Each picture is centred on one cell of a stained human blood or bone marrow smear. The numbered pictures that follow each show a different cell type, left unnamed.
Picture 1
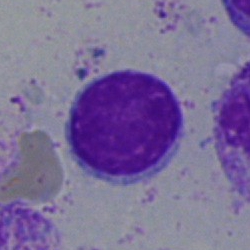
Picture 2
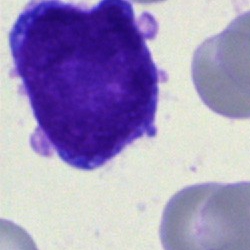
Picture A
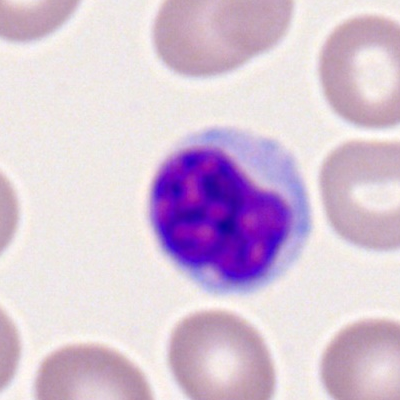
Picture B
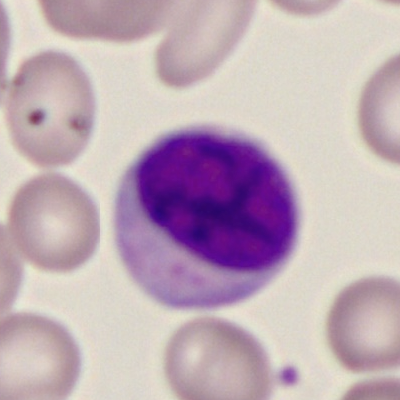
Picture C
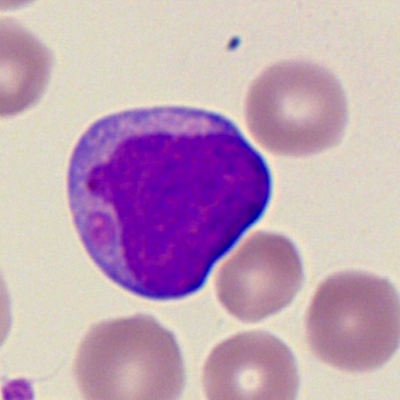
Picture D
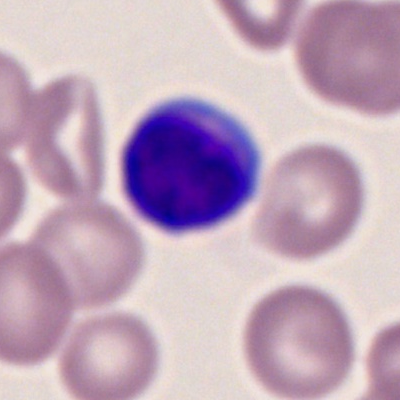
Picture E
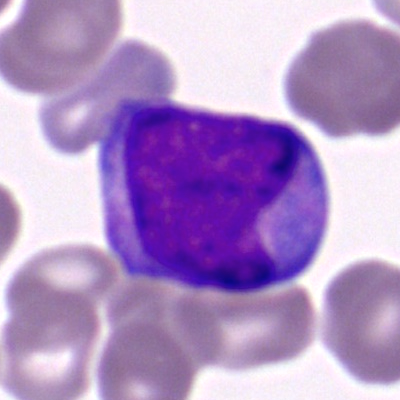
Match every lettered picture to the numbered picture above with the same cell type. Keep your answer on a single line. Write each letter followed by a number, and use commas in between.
A 1, B 1, C 2, D 1, E 2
